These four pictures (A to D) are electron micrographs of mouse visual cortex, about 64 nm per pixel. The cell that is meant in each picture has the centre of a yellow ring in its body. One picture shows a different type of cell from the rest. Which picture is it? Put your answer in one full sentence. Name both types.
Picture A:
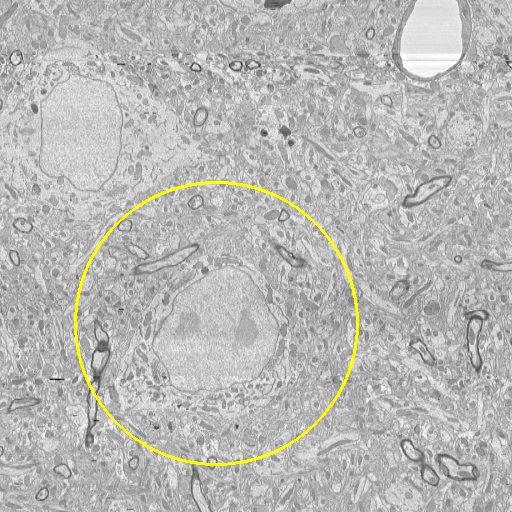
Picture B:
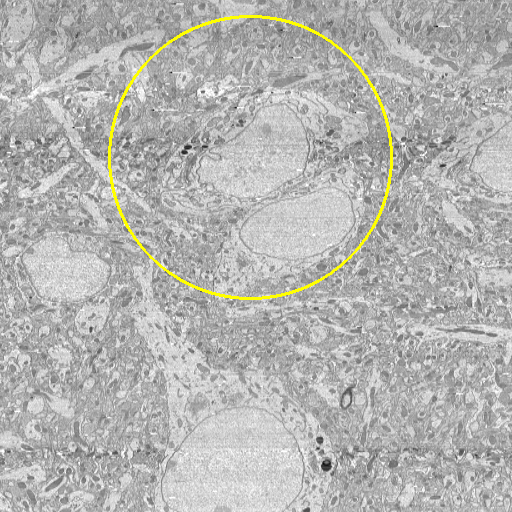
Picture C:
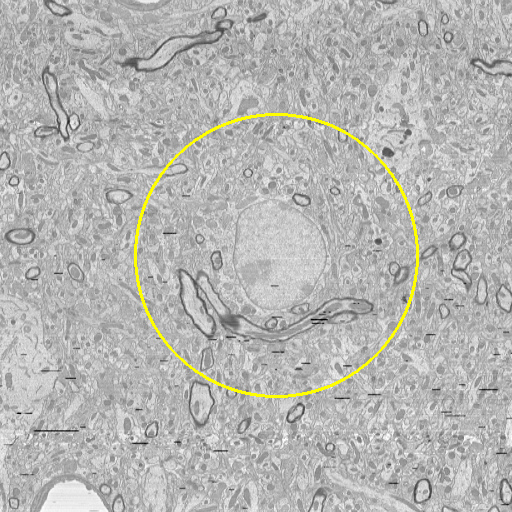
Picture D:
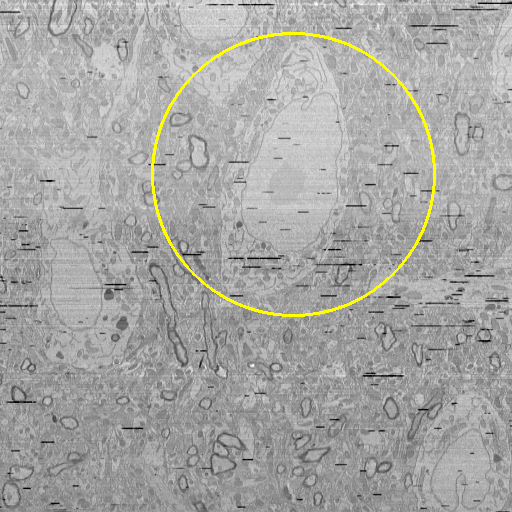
Unlike the rest, which show inhibitory neurons, picture C shows an astrocyte.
